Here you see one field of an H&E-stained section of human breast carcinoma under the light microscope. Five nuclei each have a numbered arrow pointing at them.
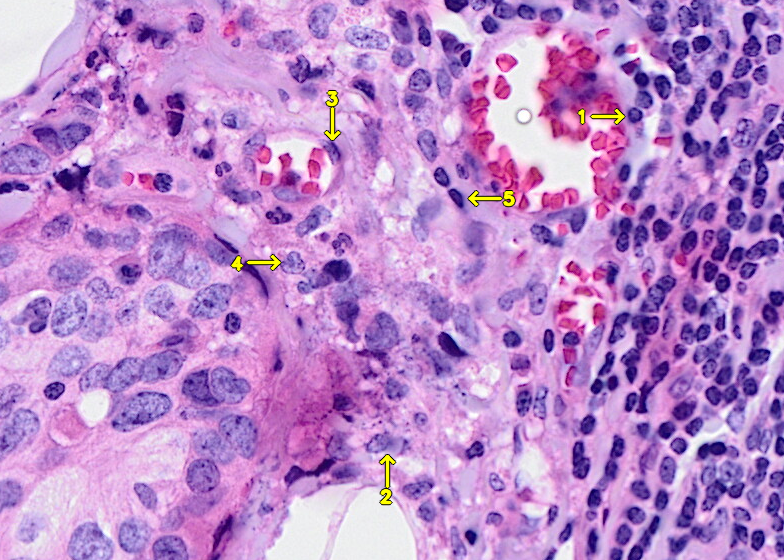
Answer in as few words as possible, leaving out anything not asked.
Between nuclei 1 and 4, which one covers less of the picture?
1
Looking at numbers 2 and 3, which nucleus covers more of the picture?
2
